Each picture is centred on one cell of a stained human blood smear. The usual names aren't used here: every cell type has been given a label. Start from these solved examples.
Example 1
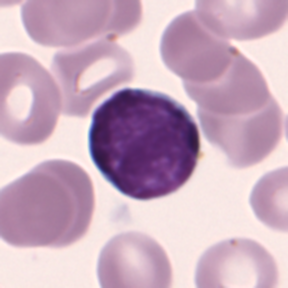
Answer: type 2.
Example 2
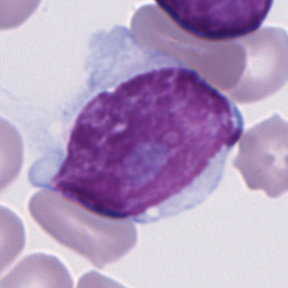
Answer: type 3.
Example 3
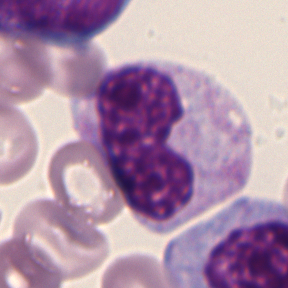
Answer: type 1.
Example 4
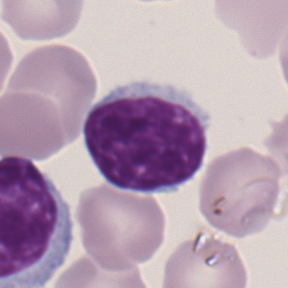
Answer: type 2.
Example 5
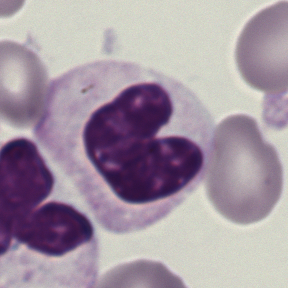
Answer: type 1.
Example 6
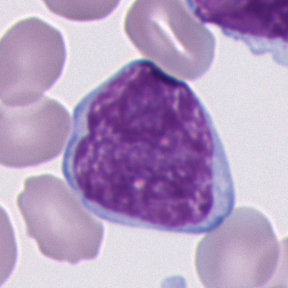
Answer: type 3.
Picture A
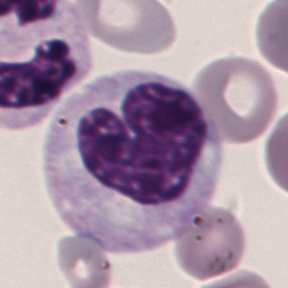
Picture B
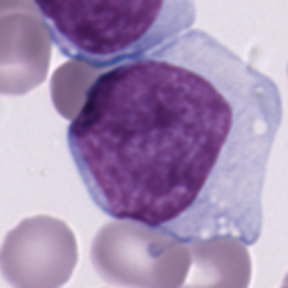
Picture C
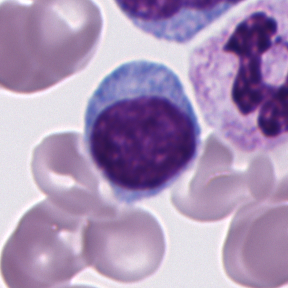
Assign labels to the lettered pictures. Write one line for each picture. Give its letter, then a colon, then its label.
A: type 1.
B: type 3.
C: type 2.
